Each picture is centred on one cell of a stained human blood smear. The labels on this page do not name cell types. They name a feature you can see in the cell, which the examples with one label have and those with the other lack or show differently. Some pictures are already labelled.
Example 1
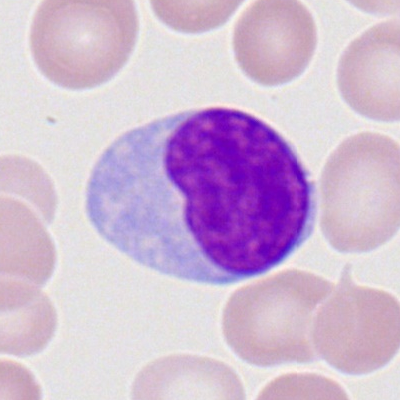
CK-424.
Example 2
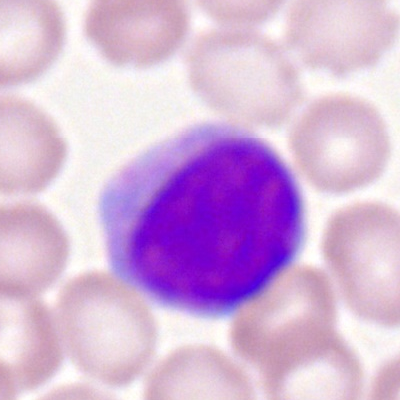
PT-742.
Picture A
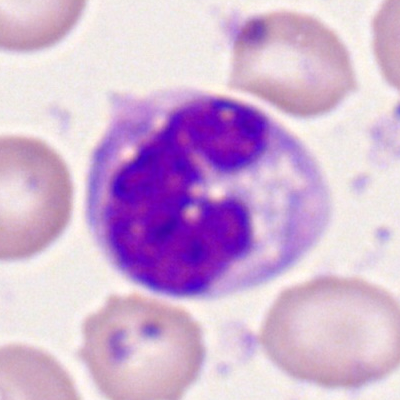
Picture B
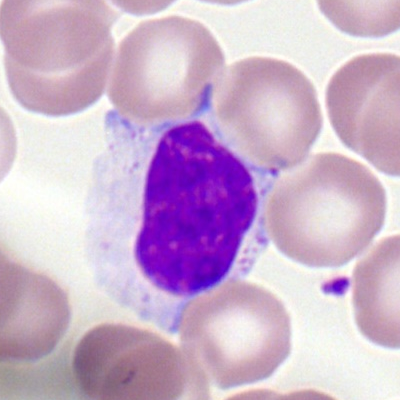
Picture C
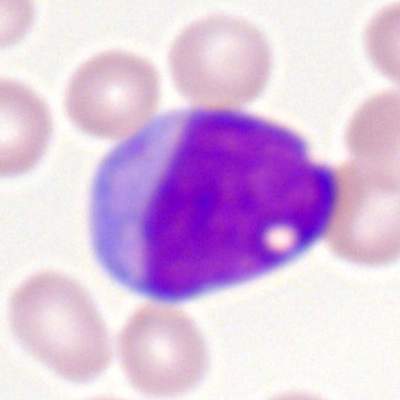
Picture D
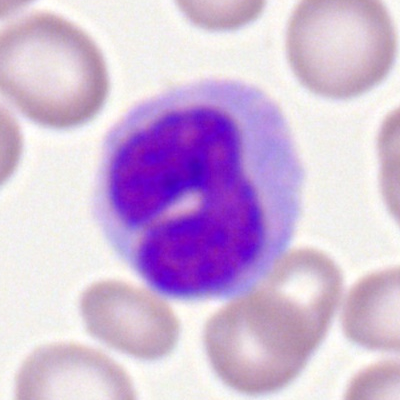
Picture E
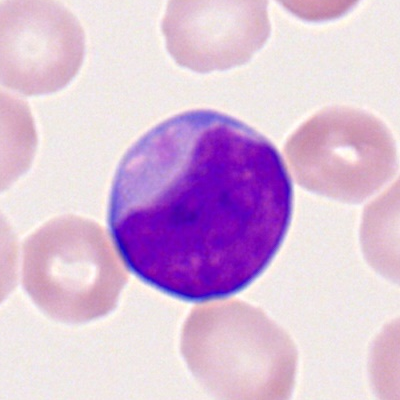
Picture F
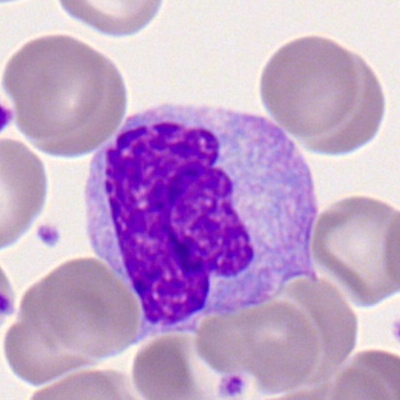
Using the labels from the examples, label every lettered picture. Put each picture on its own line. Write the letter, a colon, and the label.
A: PT-742.
B: CK-424.
C: CK-424.
D: PT-742.
E: PT-742.
F: CK-424.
